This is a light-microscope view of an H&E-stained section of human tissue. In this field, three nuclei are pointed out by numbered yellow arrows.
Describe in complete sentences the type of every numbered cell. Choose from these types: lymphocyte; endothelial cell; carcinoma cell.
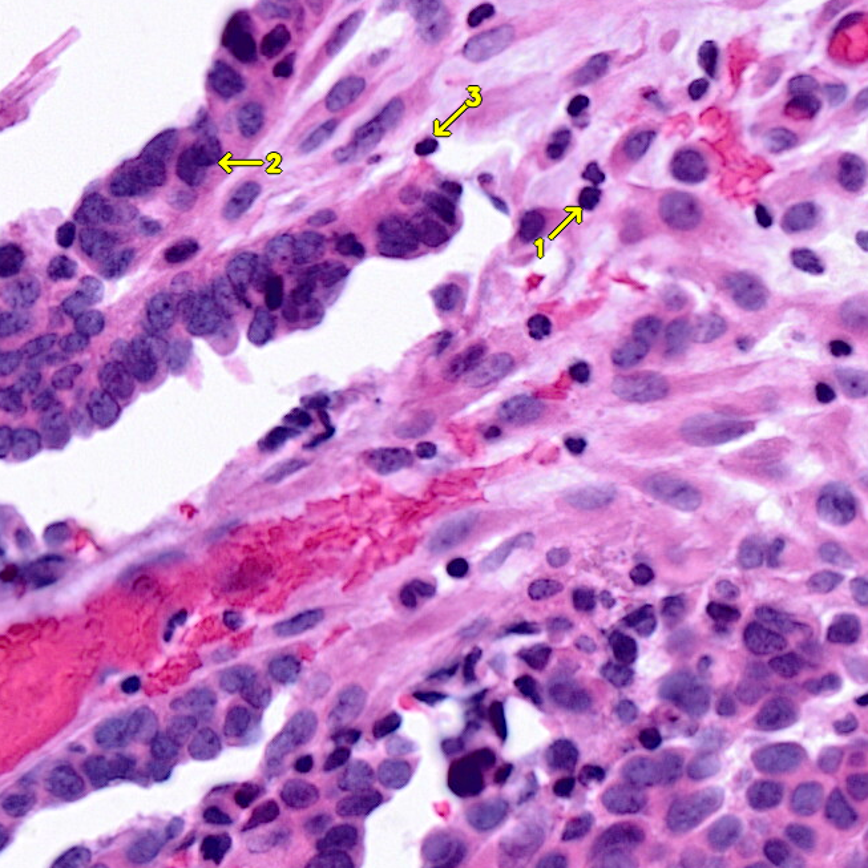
Cell 1 is a lymphocyte, cell 2 is a carcinoma cell and cell 3 is a lymphocyte.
